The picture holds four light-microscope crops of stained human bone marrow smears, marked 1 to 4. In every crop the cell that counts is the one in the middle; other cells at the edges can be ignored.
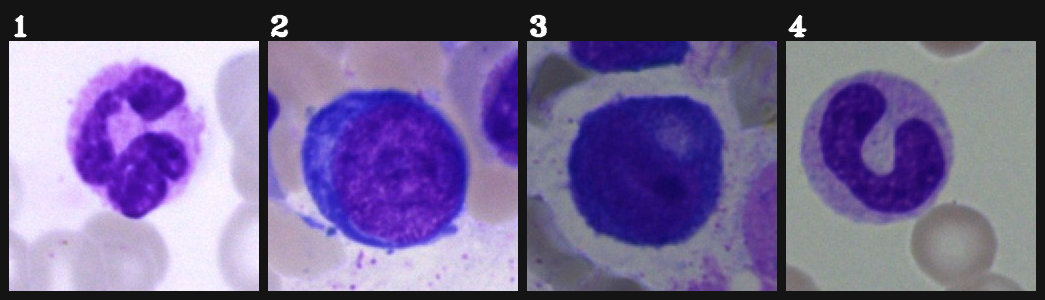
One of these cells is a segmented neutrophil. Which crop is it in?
1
